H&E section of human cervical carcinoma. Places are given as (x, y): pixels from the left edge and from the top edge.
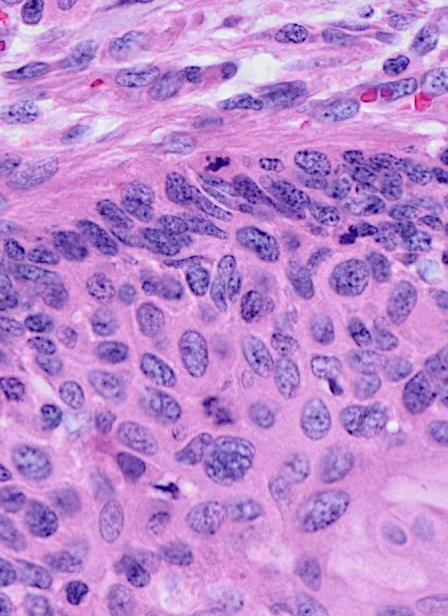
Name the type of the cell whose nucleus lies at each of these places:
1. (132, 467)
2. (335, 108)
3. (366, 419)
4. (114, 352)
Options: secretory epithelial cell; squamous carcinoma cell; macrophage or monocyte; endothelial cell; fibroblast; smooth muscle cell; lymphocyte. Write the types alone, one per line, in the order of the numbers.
squamous carcinoma cell
endothelial cell
squamous carcinoma cell
squamous carcinoma cell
